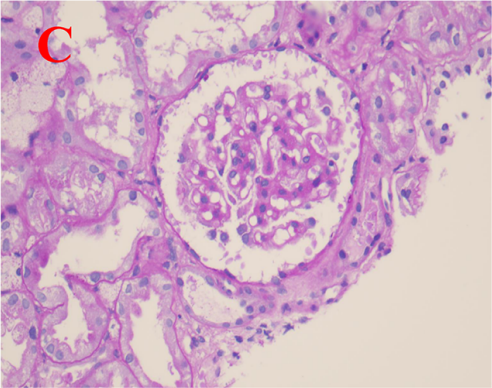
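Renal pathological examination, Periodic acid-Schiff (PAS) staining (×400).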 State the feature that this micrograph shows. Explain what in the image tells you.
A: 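Glomeruli. A round tuft of capillary loops sits in the centre. The tuft is enclosed by a thin capsule with a clear space around it. Tubules with cuboidal epithelium surround it.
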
